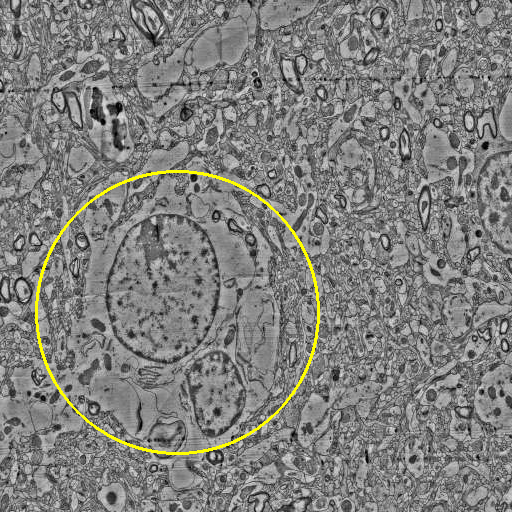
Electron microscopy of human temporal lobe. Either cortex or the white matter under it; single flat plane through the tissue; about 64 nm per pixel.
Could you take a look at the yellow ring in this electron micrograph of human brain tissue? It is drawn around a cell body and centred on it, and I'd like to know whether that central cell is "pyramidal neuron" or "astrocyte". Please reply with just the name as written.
astrocyte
